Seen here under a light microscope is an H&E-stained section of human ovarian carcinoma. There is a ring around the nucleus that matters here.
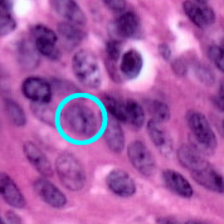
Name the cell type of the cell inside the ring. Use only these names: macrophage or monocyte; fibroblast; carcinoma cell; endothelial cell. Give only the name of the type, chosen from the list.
carcinoma cell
